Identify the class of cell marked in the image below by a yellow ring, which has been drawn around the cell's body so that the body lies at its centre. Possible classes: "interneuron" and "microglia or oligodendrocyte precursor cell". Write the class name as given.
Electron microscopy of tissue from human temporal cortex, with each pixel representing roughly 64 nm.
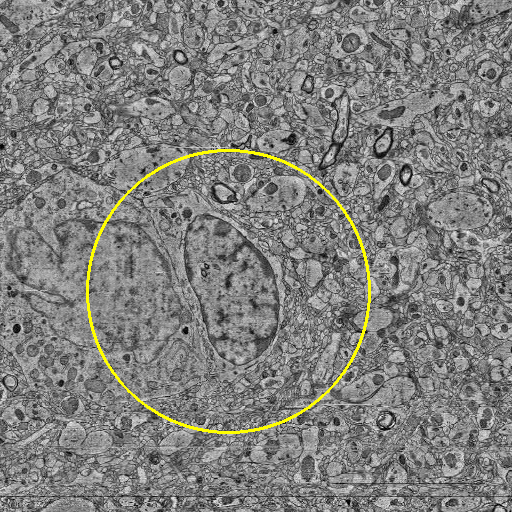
microglia or oligodendrocyte precursor cell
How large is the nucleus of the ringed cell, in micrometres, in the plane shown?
The nucleus measures about 9 by 6 micrometres in this plane.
